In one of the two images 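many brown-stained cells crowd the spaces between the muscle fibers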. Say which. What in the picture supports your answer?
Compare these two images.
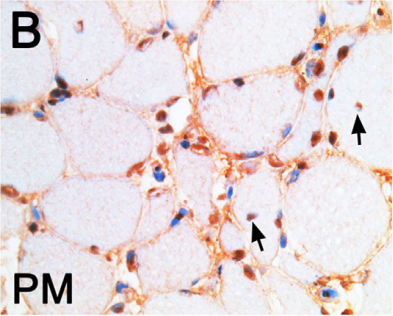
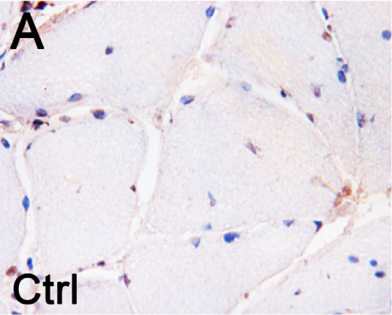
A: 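First image: numerous dark brown cells and a brown rim fill the spaces between fibers. Second image: few, mostly blue nuclei lie in thin pale strands between fibers. On this evidence: the first image.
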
